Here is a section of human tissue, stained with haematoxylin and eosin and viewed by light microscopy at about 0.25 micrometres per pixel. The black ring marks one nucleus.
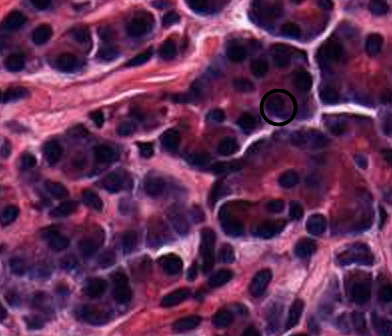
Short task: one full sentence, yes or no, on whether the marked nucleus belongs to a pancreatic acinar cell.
Yes, the marked nucleus is a part of a pancreatic acinar cell.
